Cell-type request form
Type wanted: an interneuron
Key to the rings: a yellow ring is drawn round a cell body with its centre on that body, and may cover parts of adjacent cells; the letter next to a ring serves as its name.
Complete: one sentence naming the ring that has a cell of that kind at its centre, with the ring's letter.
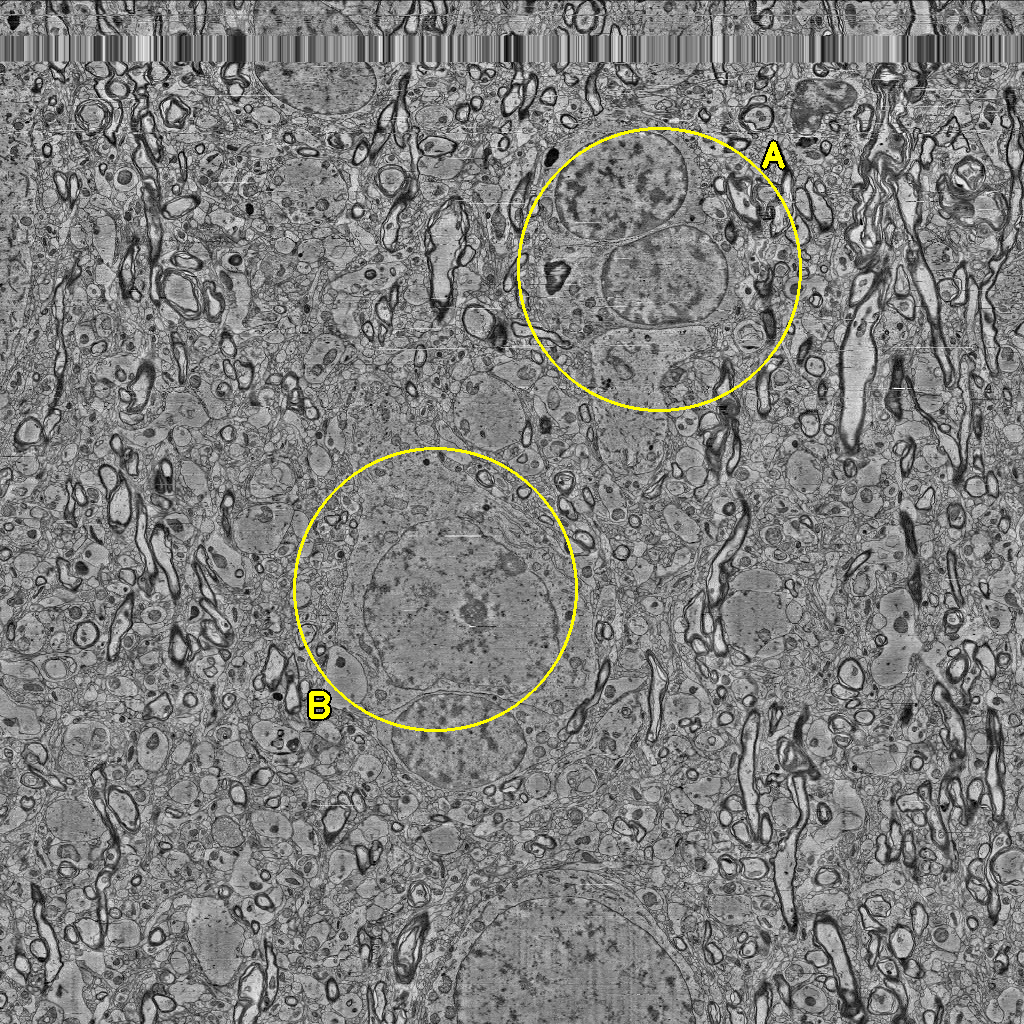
A cell of that kind sits at the centre of the ring labelled B.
